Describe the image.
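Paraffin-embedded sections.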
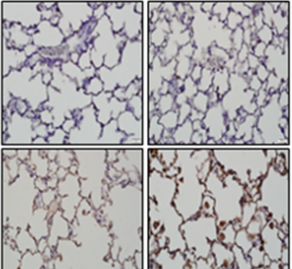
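Lung parenchyma in four fields: thin alveolar septa form a lace-like network around open air spaces, with small blue nuclei along the walls. In the upper two fields the septa are mostly blue with little or no brown stain. In the lower two fields brown stain lines the septa throughout, stronger and more widespread in the lower right field, where the alveolar walls appear thickened and densely brown with many cells along them. Air spaces remain open in all fields and no large airways are seen.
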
